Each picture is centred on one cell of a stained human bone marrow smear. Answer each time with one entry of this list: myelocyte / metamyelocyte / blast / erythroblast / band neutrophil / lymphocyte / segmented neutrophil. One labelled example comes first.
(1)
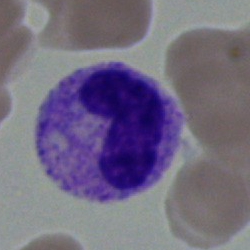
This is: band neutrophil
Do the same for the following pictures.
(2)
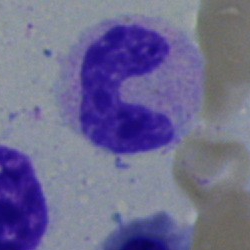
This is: band neutrophil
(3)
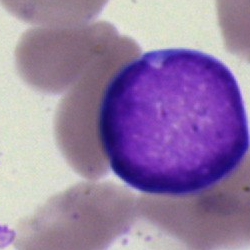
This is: blast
